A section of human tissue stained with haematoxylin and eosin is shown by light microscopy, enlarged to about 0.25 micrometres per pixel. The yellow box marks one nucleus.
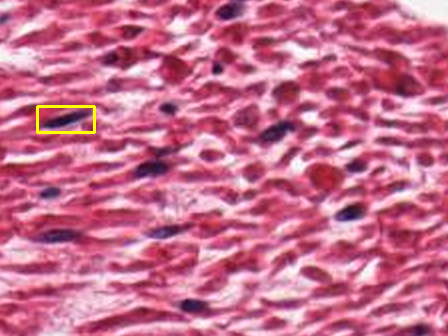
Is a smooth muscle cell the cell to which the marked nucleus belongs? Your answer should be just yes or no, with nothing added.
yes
